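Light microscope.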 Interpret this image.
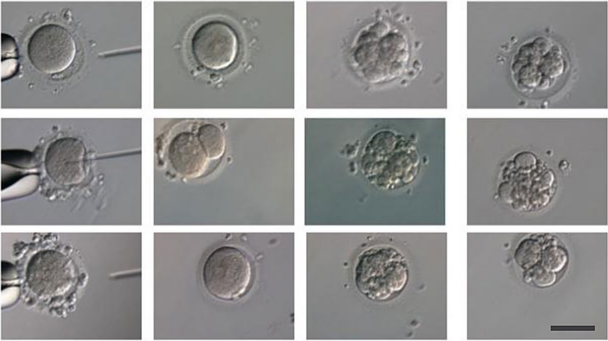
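In the first column the oocytes are held by a pipette with a fine needle at the opposite side and still carry a few loosely attached surrounding cells. In the later images the embryos consist of a few blastomeres mixed with many small irregular fragments, so that the contents look lumpy and crowded.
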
